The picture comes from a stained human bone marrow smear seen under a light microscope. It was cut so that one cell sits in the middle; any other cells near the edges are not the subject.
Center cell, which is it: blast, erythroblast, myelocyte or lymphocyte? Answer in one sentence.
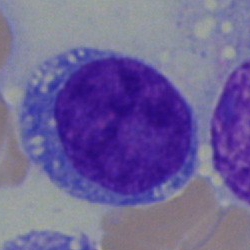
This crop's central cell is a blast.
